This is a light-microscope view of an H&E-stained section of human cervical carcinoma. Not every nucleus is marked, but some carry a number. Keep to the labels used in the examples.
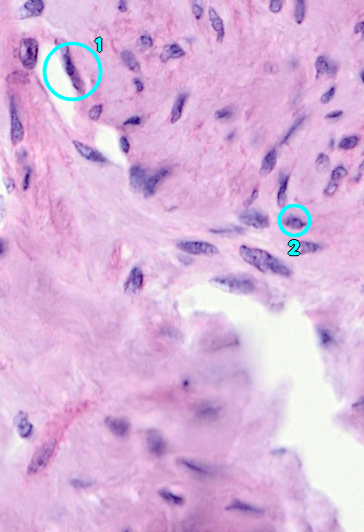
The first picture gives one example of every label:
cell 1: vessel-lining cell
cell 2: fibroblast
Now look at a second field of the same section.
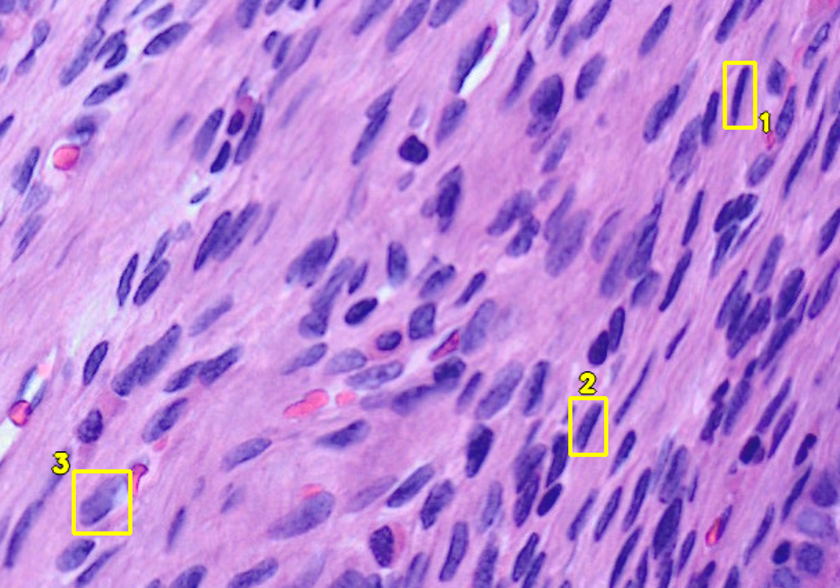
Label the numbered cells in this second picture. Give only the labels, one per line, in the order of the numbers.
fibroblast
fibroblast
vessel-lining cell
